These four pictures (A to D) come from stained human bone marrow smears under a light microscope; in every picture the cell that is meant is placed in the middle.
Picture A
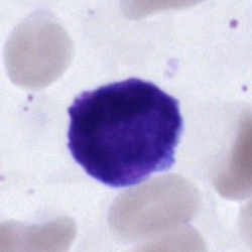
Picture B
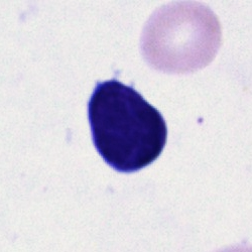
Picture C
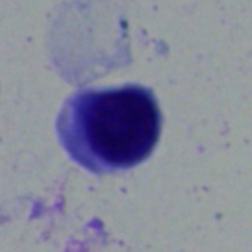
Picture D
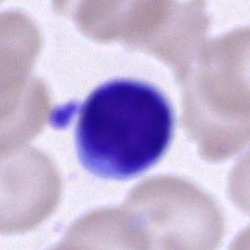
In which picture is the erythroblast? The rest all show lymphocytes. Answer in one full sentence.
Picture C shows the erythroblast.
